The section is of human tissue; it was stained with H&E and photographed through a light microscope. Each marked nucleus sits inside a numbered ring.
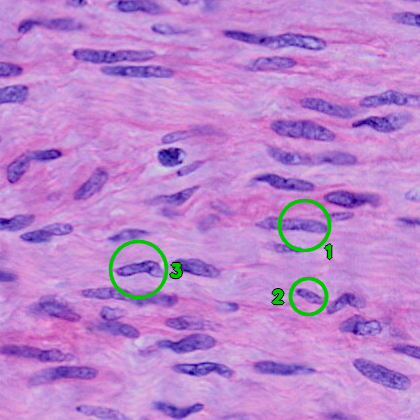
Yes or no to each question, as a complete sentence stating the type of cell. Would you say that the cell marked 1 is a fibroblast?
No, the cell given number 1 is a smooth muscle cell, as opposed to a fibroblast.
